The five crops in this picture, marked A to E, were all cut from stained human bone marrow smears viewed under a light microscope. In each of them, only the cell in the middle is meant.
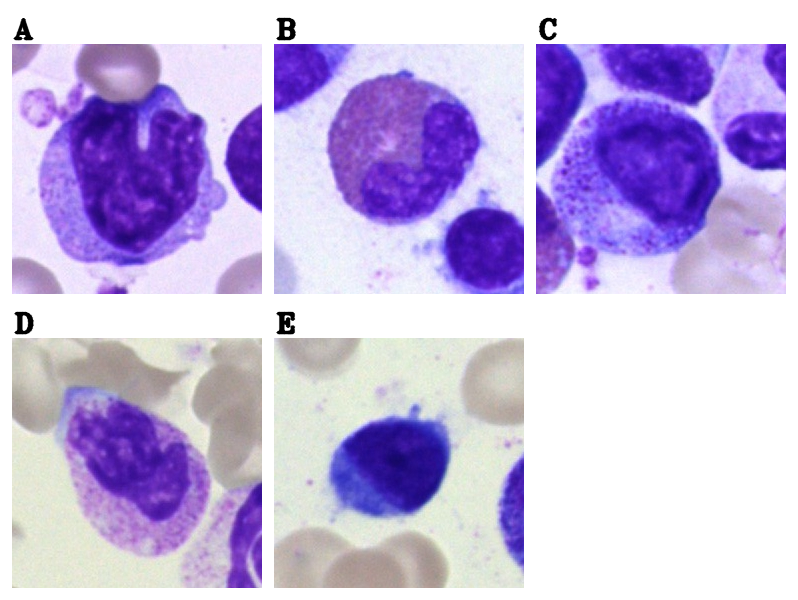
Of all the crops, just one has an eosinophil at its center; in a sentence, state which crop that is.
The crop with an eosinophil in it is crop B.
